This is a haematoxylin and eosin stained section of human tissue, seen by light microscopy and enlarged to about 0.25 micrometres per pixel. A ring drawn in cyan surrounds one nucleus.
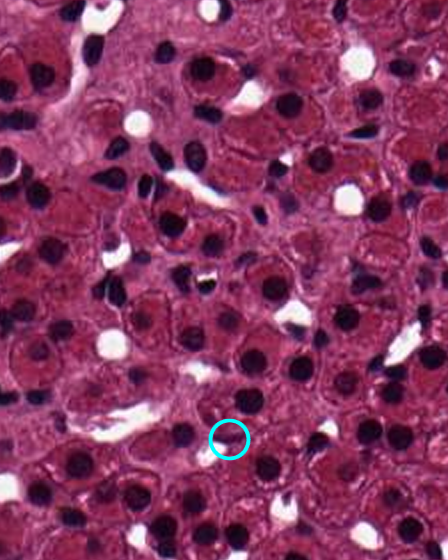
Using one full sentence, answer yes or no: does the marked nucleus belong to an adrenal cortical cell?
No, the cell to which the marked nucleus belongs is a supporting cell rather than an adrenal cortical cell.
